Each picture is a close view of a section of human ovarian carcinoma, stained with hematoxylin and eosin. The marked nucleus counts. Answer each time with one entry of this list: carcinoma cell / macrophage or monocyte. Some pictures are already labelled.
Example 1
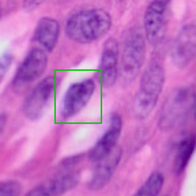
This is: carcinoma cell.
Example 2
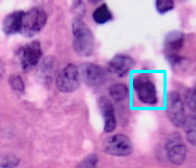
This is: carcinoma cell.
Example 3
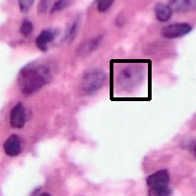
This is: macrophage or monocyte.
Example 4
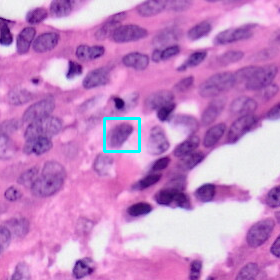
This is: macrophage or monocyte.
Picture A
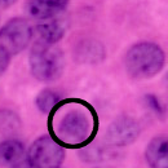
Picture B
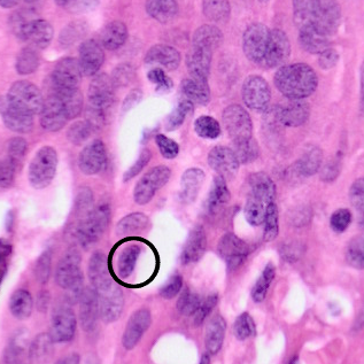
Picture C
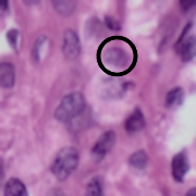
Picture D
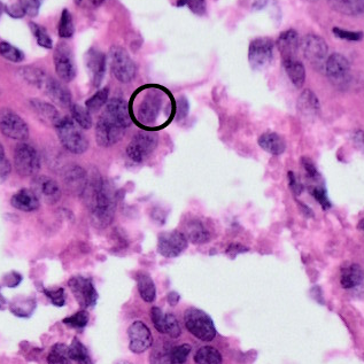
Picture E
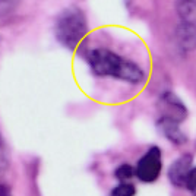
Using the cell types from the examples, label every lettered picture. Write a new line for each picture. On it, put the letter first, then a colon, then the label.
A: carcinoma cell.
B: macrophage or monocyte.
C: macrophage or monocyte.
D: carcinoma cell.
E: macrophage or monocyte.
